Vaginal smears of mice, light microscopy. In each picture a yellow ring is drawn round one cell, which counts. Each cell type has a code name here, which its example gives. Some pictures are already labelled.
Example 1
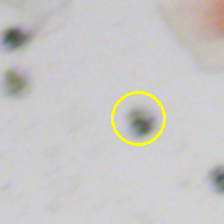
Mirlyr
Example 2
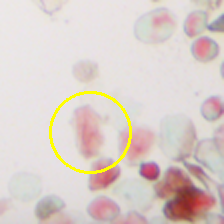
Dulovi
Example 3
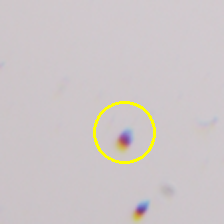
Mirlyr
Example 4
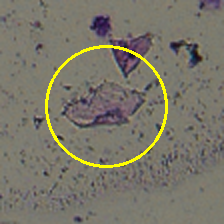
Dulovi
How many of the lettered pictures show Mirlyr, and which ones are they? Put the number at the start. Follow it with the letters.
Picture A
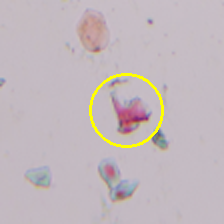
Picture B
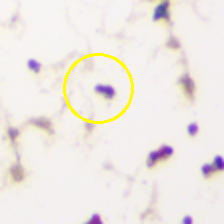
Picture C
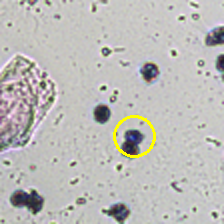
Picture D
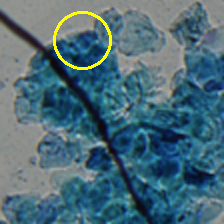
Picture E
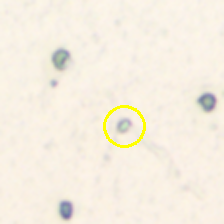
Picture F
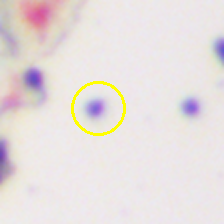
4, namely B, C, E, F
